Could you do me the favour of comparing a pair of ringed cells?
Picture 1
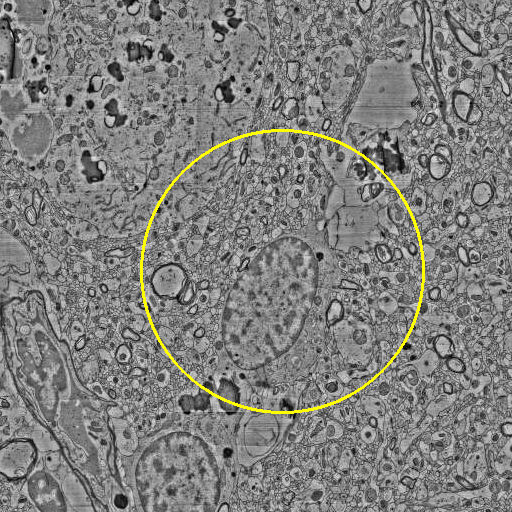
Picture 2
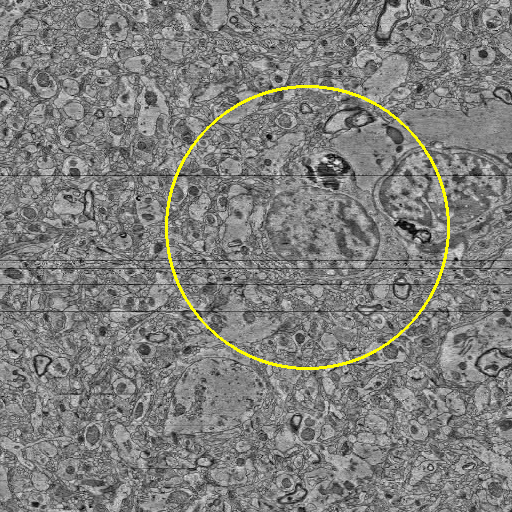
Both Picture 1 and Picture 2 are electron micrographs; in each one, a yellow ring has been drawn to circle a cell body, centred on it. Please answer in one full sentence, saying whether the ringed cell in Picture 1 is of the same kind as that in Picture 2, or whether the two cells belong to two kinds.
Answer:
The ringed cell in Picture 1 is of the same kind as that in Picture 2.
